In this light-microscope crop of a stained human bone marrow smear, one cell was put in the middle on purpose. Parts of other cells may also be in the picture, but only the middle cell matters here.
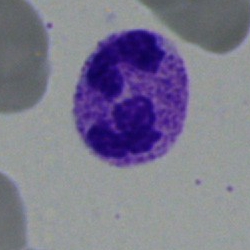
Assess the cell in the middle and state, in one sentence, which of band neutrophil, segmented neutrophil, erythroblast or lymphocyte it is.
Classification of the middle cell gives a segmented neutrophil.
